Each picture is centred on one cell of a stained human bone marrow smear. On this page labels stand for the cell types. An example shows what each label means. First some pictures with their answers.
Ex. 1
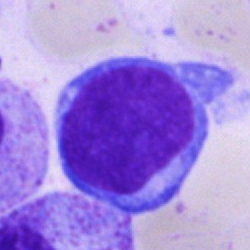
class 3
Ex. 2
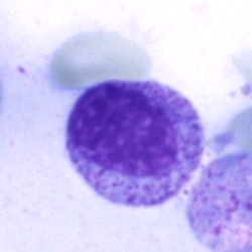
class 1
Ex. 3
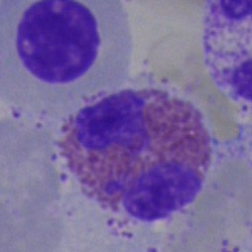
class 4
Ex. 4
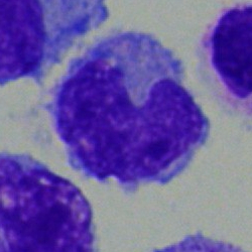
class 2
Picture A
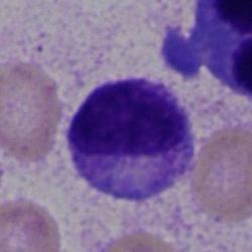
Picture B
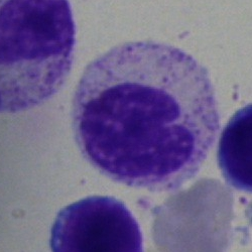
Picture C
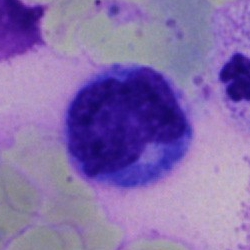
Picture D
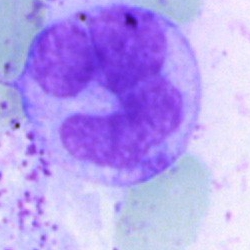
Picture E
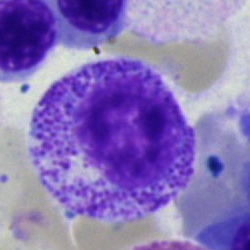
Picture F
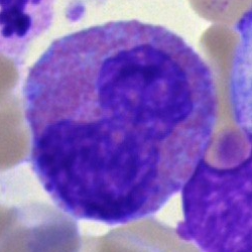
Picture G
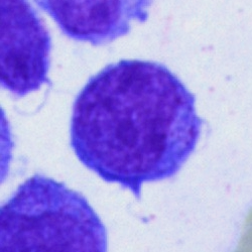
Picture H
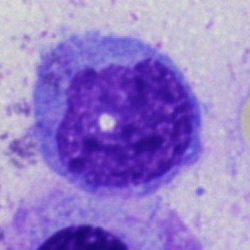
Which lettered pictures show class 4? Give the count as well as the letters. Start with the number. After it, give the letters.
1: F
